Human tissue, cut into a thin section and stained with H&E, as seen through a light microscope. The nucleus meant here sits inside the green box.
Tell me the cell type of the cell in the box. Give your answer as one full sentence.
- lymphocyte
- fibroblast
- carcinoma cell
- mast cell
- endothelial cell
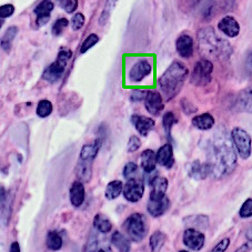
Within the stained tissue, the cell in the box is a lymphocyte.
